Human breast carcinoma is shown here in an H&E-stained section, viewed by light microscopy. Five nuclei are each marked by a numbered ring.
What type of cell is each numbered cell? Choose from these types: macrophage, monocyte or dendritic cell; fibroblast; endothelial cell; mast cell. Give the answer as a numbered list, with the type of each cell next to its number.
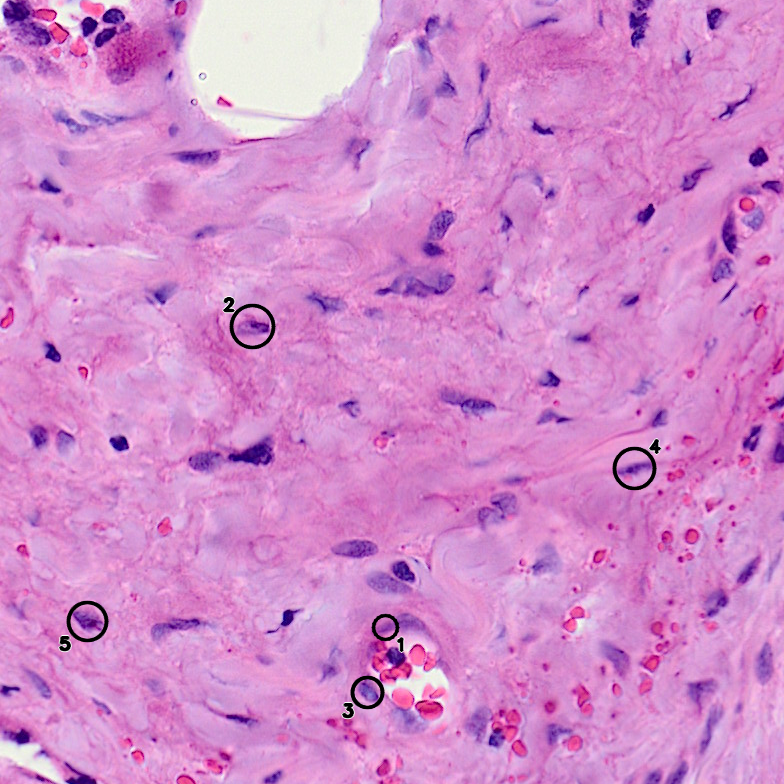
1. endothelial cell
2. fibroblast
3. endothelial cell
4. fibroblast
5. fibroblast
